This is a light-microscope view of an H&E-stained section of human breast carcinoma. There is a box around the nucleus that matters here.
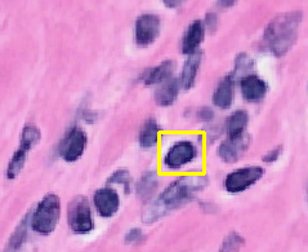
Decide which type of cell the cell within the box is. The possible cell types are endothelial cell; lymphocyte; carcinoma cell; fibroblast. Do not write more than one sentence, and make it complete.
The cell type represented by the cell within the box is that of a lymphocyte.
